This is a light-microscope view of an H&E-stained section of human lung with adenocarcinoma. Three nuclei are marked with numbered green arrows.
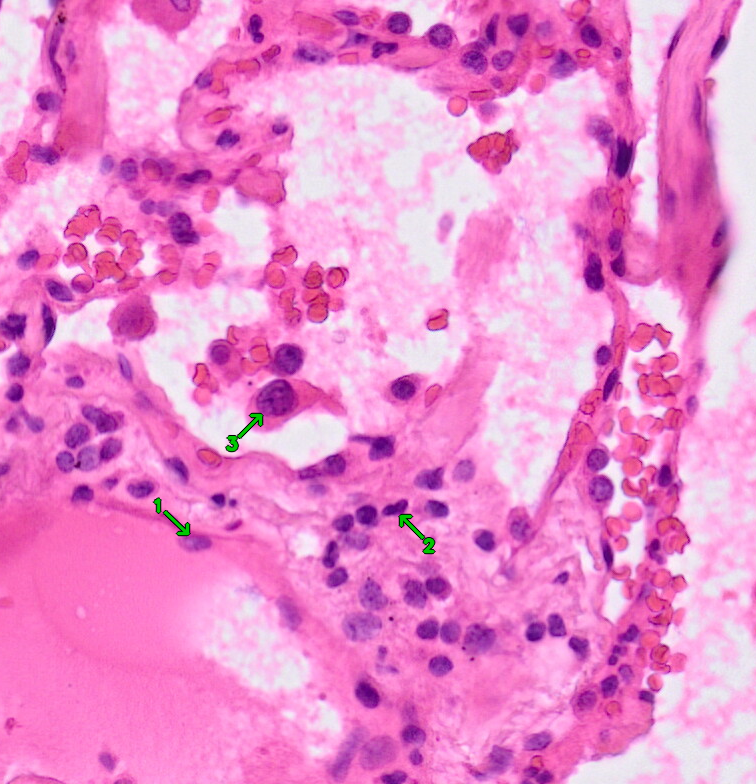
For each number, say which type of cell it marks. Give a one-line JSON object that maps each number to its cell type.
{"1": "endothelial cell", "2": "lymphocyte", "3": "carcinoma cell"}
